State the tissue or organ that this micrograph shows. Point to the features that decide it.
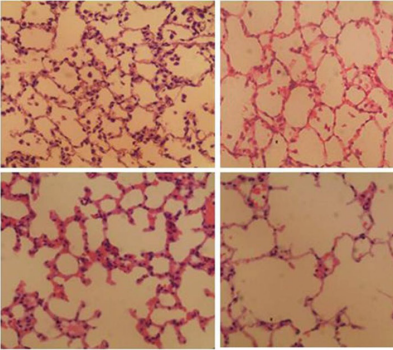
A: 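Many thin-walled, empty, rounded airspaces separated by slender pink septa. A lace-like network of delicate walls with scattered small nuclei.
Answer: lung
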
